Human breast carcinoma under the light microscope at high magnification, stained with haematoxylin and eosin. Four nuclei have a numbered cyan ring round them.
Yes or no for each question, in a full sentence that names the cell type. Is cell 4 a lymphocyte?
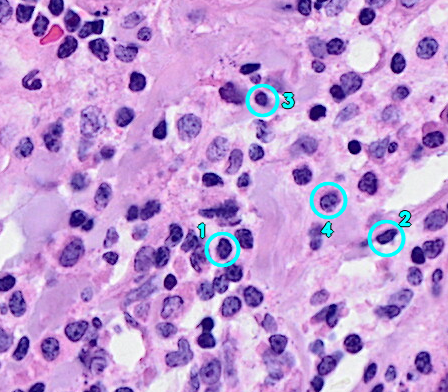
No, the marker 4 sits on a mast cell, not on a lymphocyte.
